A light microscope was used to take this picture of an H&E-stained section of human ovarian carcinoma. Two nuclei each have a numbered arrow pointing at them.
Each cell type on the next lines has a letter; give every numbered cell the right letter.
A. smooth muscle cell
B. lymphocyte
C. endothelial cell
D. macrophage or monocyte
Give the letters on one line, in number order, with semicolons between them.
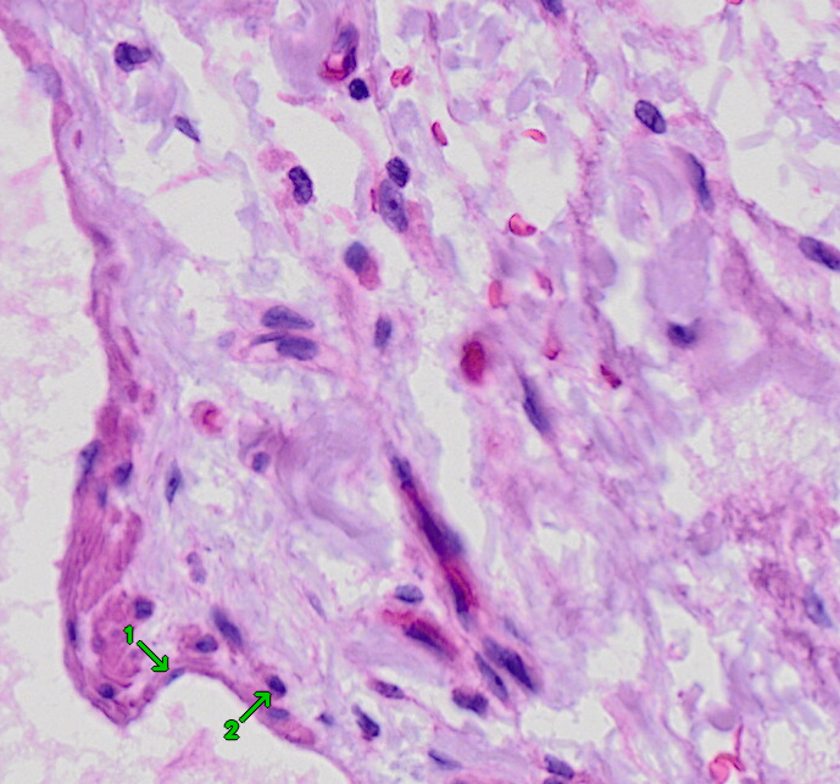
C; A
